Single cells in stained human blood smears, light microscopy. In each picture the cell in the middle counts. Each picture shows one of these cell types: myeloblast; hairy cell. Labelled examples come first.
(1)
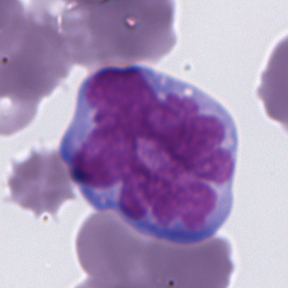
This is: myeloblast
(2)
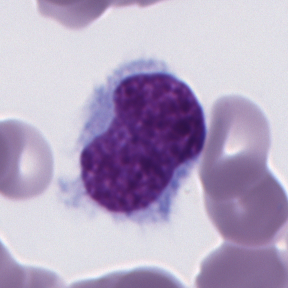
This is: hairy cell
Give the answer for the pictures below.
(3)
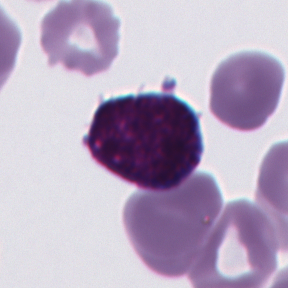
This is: myeloblast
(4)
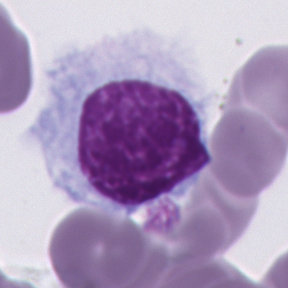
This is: hairy cell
